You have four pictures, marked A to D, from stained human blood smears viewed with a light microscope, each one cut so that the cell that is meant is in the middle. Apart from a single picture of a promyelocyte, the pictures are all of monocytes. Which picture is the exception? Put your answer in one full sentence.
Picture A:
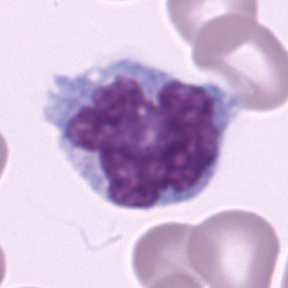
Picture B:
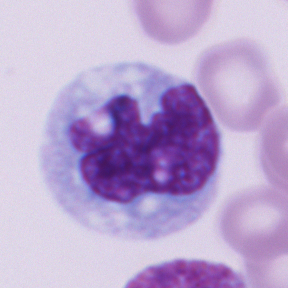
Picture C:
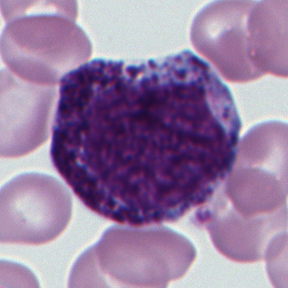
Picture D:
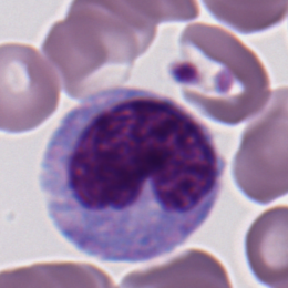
The picture with the promyelocyte is C.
